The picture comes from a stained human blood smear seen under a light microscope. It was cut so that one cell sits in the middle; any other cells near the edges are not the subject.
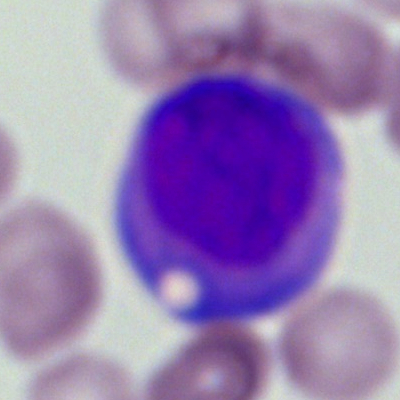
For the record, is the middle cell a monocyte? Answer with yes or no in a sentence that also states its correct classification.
No, what is centred in the crop is not a monocyte but a myeloblast.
